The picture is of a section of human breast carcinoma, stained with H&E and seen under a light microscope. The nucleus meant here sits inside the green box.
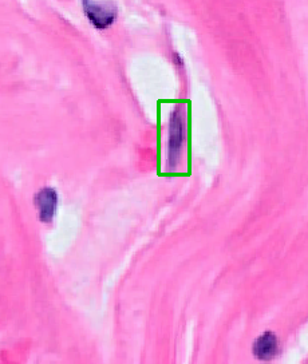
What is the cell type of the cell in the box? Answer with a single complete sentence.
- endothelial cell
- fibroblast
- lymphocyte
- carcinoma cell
Microscopically, the cell in the box is categorized as an endothelial cell.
